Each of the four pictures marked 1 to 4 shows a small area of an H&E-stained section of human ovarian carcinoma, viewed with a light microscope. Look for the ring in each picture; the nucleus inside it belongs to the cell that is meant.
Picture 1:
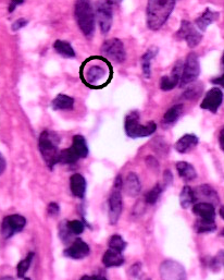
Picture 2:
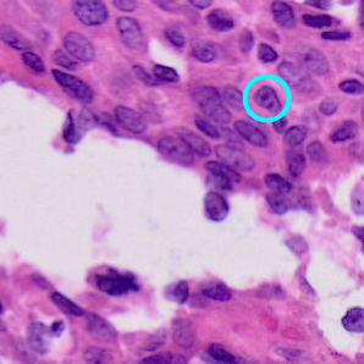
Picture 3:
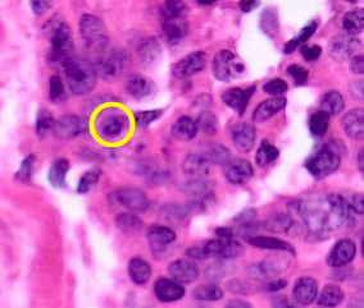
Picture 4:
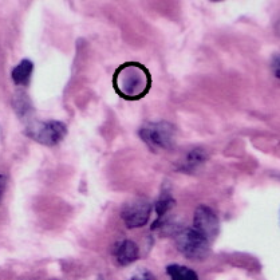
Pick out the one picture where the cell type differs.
4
